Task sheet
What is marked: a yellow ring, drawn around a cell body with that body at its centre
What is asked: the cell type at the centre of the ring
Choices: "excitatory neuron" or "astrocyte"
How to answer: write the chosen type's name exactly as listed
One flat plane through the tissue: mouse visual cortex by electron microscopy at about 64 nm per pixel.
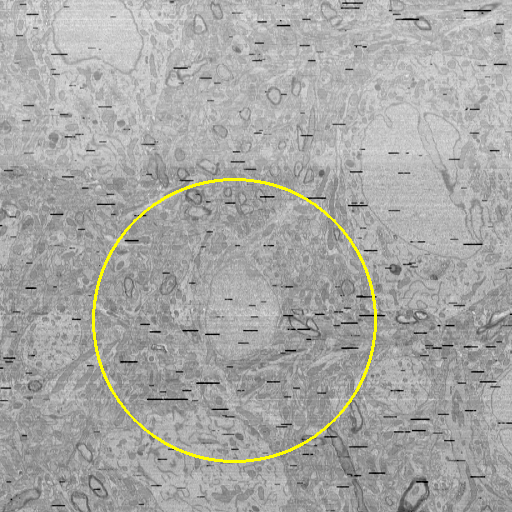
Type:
astrocyte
